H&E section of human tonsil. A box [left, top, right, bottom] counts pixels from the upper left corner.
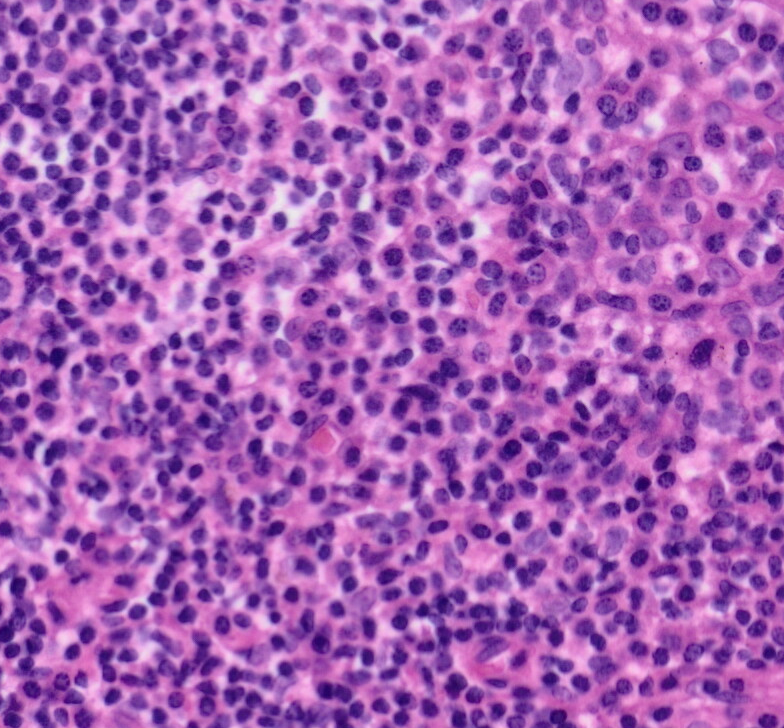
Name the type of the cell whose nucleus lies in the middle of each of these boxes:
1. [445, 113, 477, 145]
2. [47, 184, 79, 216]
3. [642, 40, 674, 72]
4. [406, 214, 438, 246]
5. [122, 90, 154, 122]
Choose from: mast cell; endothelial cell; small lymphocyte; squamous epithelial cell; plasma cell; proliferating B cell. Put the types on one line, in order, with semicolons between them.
plasma cell; small lymphocyte; plasma cell; plasma cell; small lymphocyte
